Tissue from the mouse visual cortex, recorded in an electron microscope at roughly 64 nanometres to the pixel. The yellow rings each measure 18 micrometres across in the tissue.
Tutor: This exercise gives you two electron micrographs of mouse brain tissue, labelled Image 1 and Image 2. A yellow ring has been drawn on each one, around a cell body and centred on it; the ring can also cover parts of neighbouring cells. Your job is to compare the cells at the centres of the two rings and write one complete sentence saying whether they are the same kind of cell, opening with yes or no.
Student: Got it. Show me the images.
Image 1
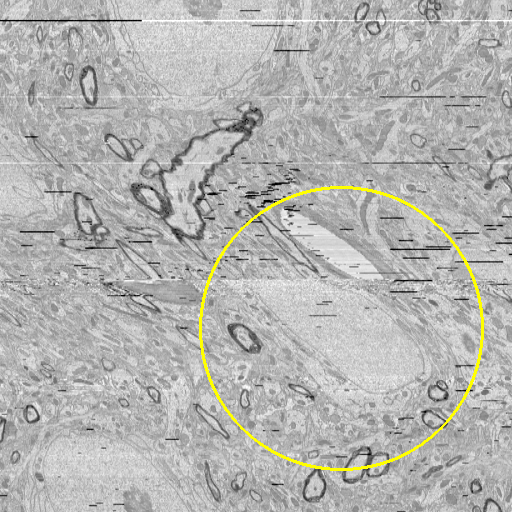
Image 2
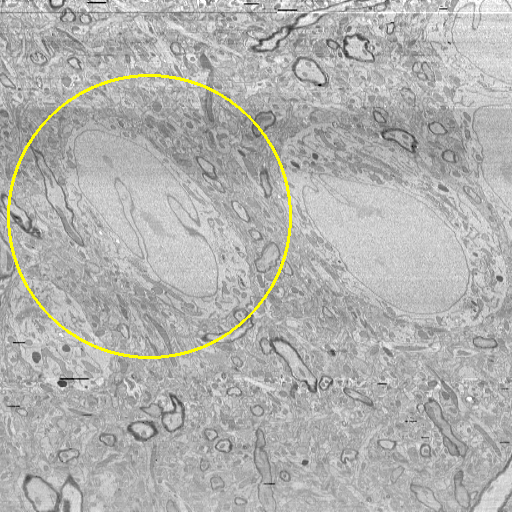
Yes, the two cells belong to the same kind.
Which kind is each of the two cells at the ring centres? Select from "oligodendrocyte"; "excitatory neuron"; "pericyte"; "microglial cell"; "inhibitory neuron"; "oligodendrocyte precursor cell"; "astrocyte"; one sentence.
The cell at the ring centre is an excitatory neuron in both pictures.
